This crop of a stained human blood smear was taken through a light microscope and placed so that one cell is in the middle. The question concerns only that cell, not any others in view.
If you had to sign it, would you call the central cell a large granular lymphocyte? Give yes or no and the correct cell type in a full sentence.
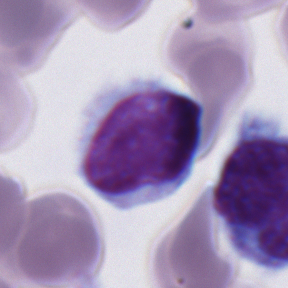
No, the central cell is classed as a typical lymphocyte and not as a large granular lymphocyte.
